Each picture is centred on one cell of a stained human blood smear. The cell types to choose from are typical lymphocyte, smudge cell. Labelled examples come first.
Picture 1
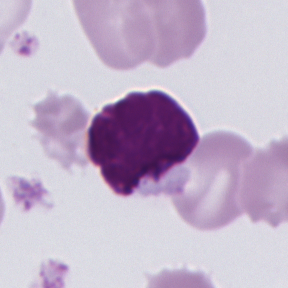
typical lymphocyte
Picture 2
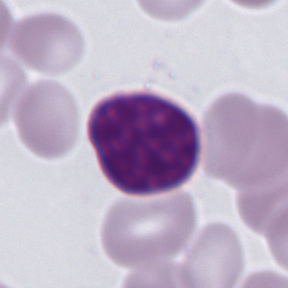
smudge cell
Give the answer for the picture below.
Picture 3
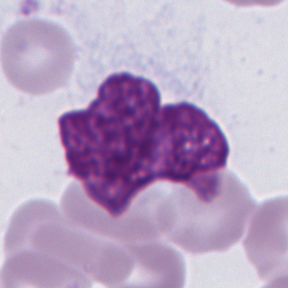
smudge cell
